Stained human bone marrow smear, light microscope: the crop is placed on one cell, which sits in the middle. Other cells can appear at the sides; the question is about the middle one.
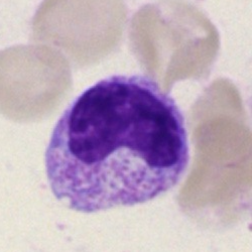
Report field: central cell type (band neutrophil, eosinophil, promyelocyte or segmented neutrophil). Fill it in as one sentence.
What the crop centres on is a band neutrophil.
